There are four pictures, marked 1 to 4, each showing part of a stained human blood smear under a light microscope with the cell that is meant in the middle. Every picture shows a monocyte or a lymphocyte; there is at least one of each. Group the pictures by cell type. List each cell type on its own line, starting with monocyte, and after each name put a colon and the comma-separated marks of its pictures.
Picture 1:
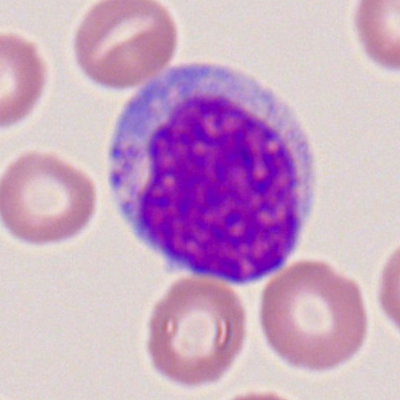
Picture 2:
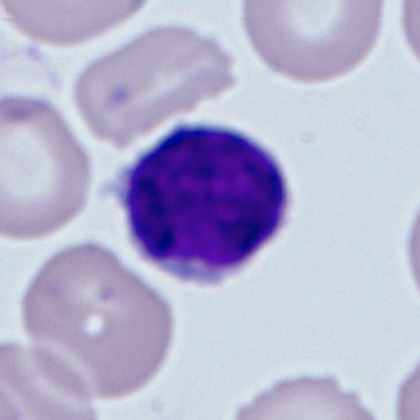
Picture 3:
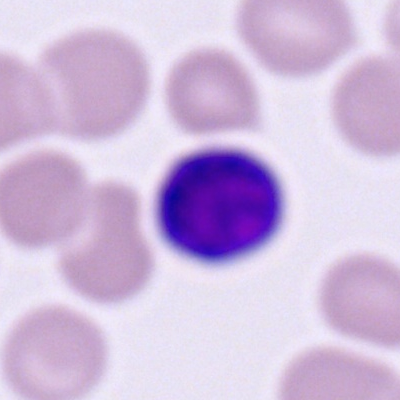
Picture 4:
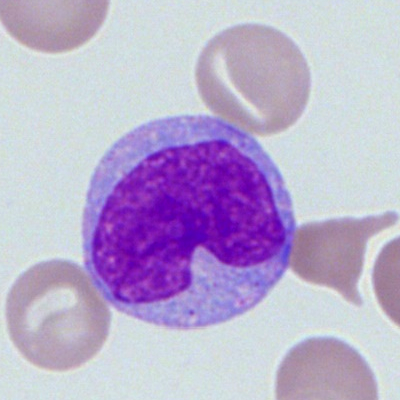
monocyte: 1, 4
lymphocyte: 2, 3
